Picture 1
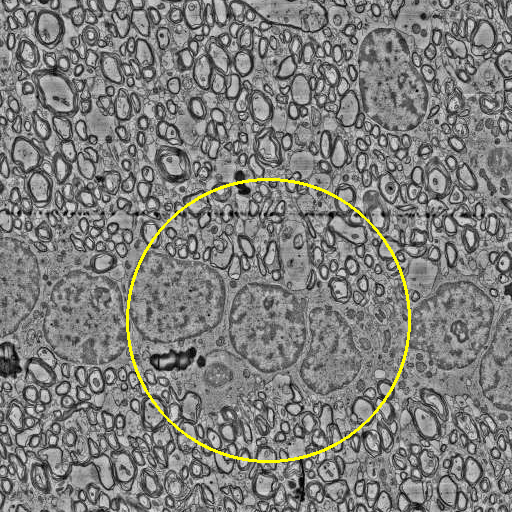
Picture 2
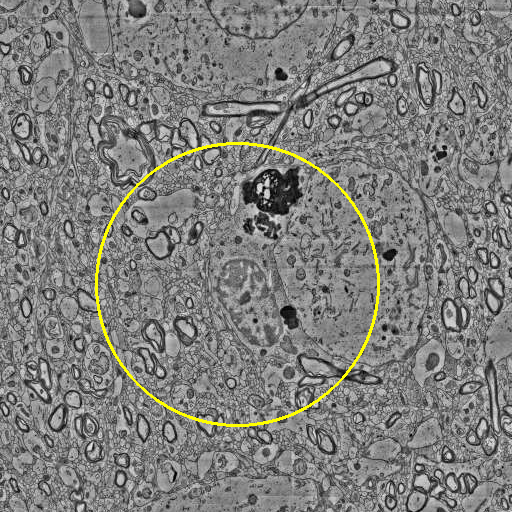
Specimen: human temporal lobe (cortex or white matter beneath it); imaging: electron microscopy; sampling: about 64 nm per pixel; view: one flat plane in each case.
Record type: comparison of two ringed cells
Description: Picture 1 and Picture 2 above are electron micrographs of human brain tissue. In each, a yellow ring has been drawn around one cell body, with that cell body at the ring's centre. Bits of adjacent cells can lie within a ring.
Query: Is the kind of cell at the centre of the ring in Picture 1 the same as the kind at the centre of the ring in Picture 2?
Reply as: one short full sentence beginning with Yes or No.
Yes, the two ringed cells are of the same kind.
